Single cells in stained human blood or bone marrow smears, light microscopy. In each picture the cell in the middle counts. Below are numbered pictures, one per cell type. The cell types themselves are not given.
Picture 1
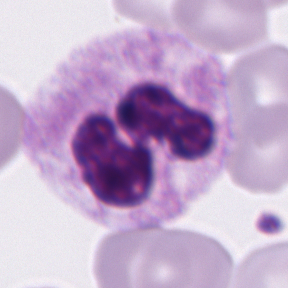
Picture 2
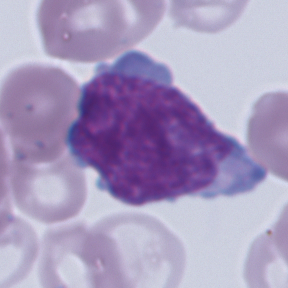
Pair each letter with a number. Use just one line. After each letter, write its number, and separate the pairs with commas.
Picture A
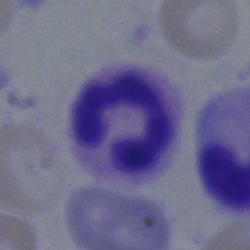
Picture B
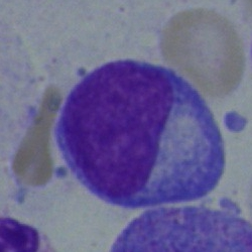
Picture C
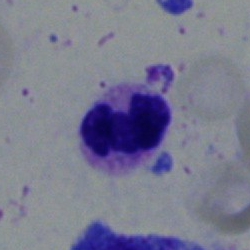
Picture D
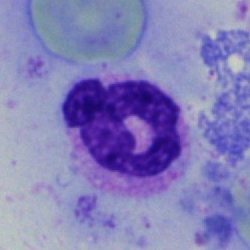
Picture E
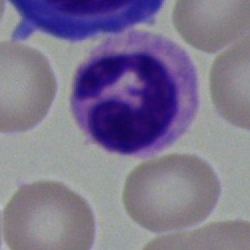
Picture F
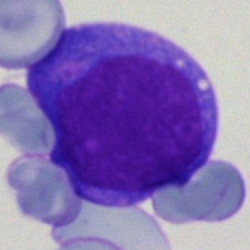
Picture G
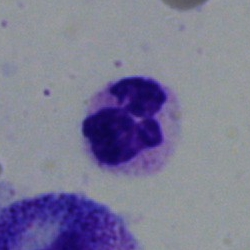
A 1, B 2, C 1, D 1, E 1, F 2, G 1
